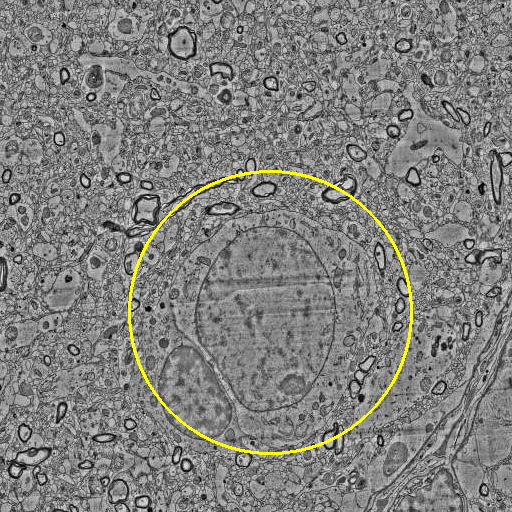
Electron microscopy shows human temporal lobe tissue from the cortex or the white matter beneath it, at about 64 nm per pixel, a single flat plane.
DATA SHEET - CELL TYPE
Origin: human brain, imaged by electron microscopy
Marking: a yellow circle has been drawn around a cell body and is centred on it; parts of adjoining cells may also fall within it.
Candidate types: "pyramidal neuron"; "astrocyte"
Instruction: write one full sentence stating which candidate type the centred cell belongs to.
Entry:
The cell body at the centre of the yellow ring in this micrograph belongs to a pyramidal neuron.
